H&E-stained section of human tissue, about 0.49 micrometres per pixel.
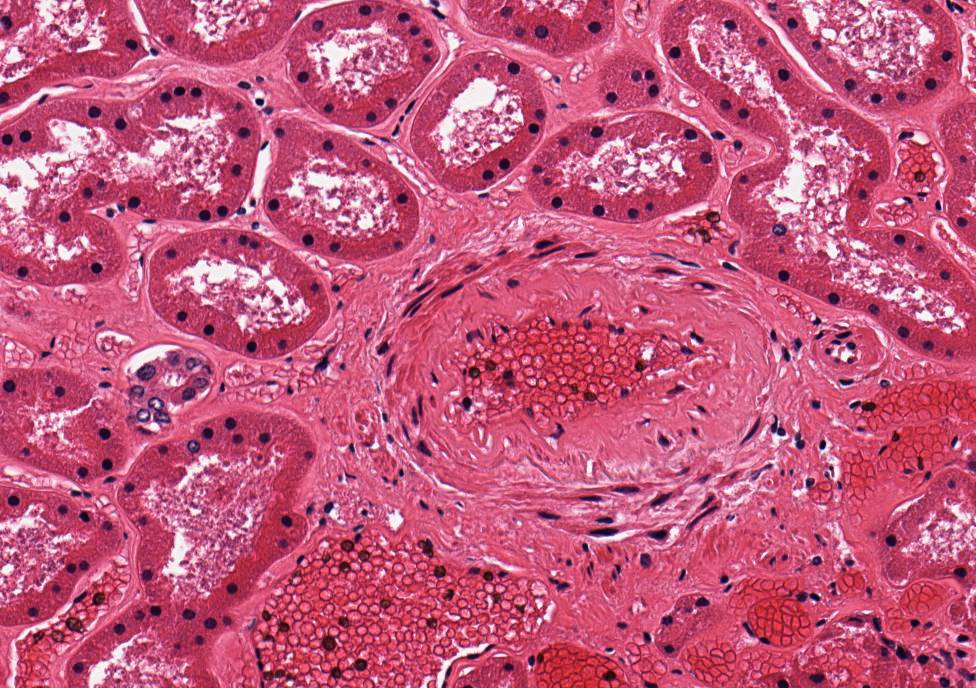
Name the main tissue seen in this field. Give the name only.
cortical labyrinth of the kidney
